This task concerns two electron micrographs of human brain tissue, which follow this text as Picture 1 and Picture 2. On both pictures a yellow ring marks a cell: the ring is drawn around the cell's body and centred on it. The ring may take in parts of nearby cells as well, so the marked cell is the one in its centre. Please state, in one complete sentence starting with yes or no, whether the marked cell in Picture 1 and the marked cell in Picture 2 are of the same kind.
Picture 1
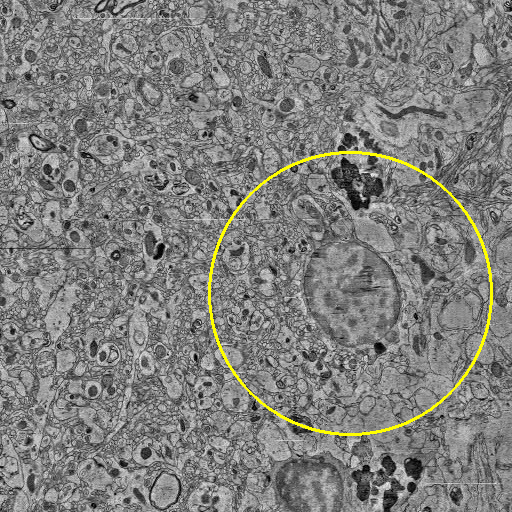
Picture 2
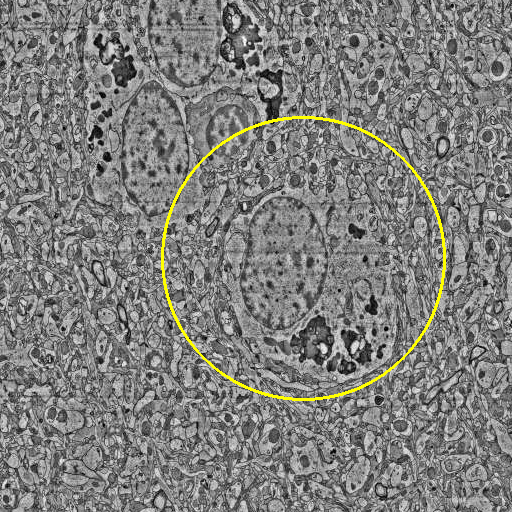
No, the marked cells in the two pictures are of two kinds.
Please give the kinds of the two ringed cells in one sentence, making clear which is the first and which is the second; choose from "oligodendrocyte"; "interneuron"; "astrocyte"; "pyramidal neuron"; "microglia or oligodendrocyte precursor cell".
In the second picture the ringed cell is an astrocyte; in the first it is an oligodendrocyte.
